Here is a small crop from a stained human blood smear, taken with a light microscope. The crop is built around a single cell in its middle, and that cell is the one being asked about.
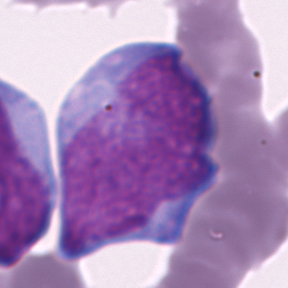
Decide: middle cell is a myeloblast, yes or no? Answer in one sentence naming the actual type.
Yes, this central cell is a myeloblast.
